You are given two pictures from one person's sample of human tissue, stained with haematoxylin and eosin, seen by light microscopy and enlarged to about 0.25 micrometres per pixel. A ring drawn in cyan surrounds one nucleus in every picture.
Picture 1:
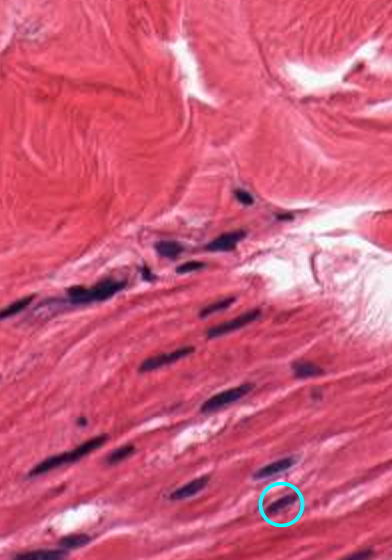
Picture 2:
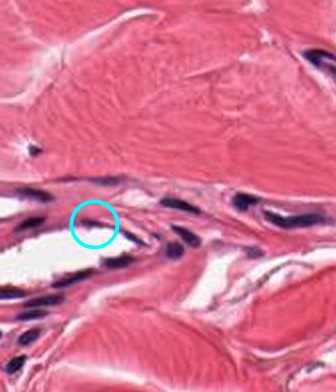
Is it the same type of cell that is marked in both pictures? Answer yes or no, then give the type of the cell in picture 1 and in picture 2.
No, the first is a smooth muscle cell and the second an endothelial cell.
